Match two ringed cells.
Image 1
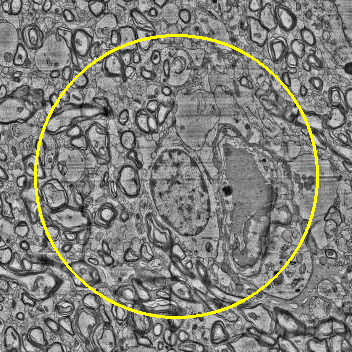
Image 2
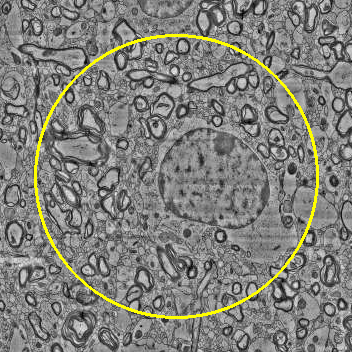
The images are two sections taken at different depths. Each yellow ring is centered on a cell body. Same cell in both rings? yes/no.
no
